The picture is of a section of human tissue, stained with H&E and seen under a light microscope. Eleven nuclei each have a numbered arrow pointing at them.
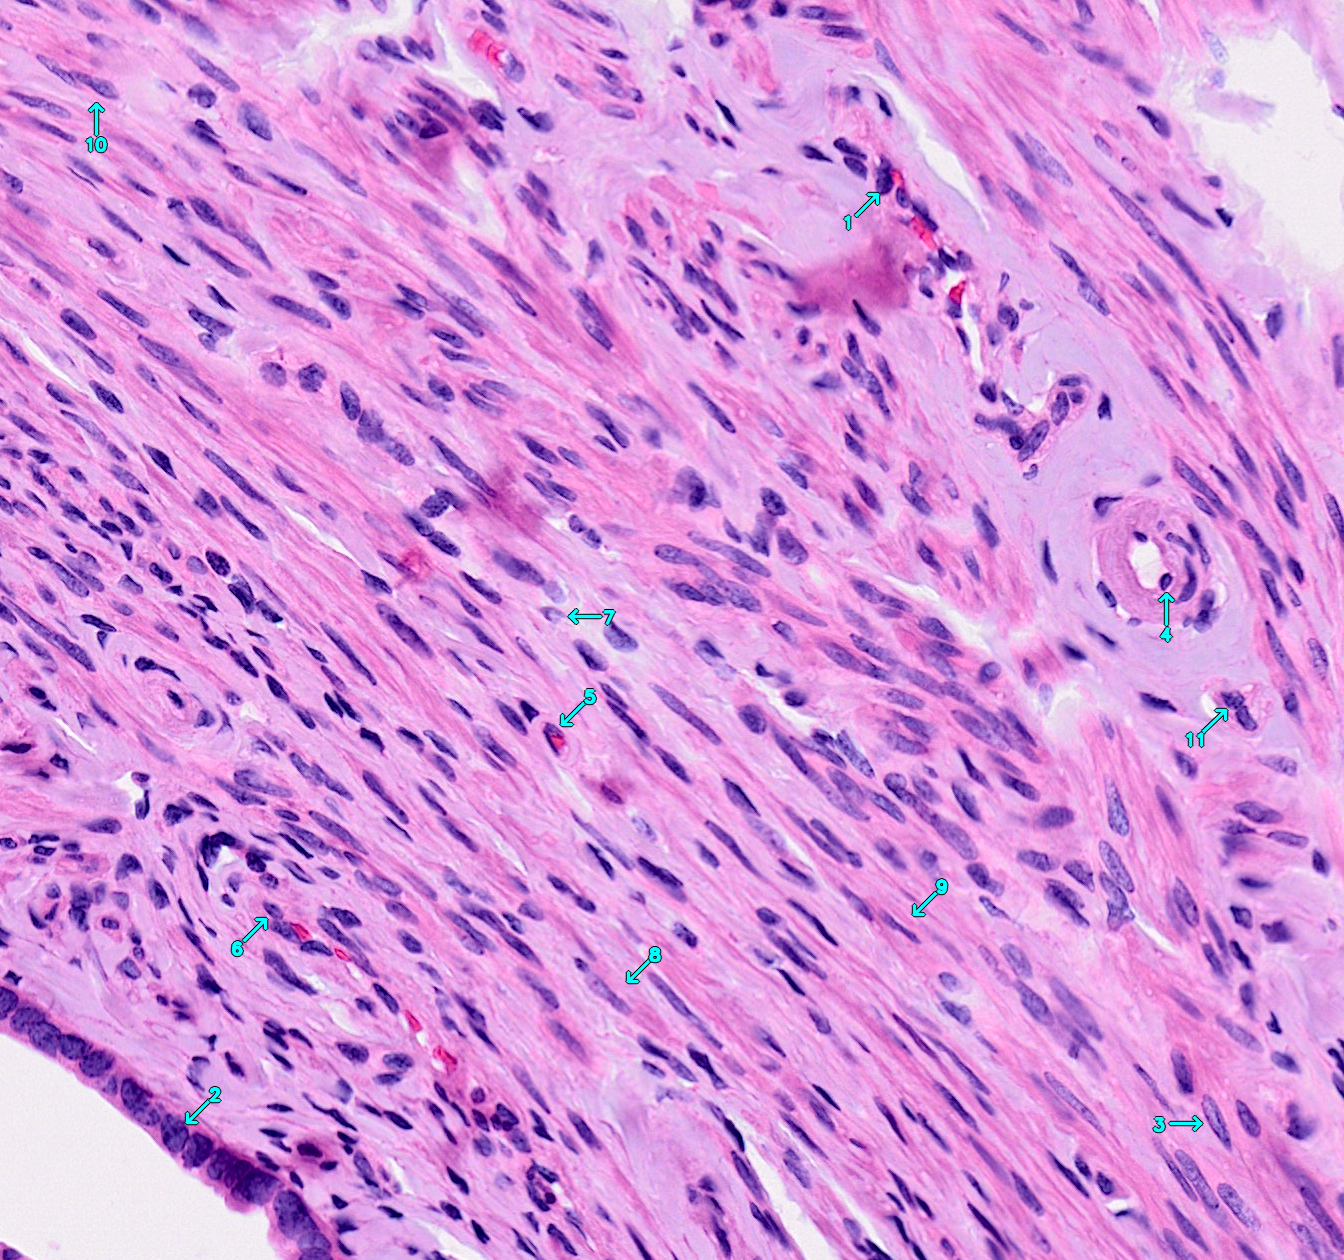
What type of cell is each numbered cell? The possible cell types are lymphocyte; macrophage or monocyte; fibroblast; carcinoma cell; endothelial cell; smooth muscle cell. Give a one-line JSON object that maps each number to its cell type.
{"1": "endothelial cell", "2": "carcinoma cell", "3": "smooth muscle cell", "4": "endothelial cell", "5": "endothelial cell", "6": "endothelial cell", "7": "fibroblast", "8": "smooth muscle cell", "9": "smooth muscle cell", "10": "smooth muscle cell", "11": "endothelial cell"}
